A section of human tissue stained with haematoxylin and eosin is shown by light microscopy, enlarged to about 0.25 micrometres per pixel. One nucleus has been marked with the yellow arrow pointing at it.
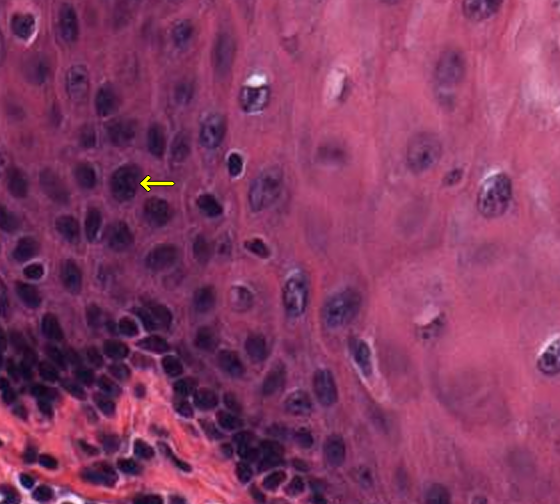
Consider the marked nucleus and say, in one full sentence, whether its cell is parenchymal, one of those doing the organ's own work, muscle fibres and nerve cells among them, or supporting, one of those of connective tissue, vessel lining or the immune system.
The marked nucleus is identified as that of a parenchymal cell, namely a squamous epithelial cell.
